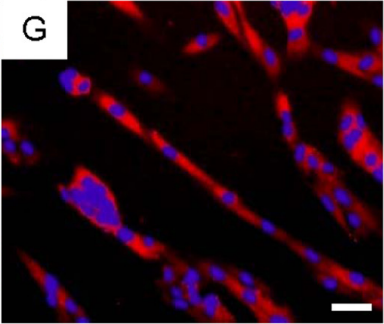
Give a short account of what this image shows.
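Cultured cells that have fused into elongated, tubular multinucleated structures, their cytoplasm filled with red. Rows of oval blue nuclei lie within the long red tubes, and a few shorter red cells lie between them on a dark background.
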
